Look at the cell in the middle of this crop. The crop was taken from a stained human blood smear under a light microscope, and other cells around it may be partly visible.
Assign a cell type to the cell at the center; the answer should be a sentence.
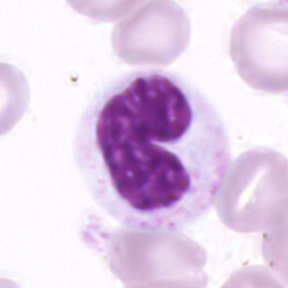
The cell under consideration, at the middle of the crop, is a band neutrophil.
